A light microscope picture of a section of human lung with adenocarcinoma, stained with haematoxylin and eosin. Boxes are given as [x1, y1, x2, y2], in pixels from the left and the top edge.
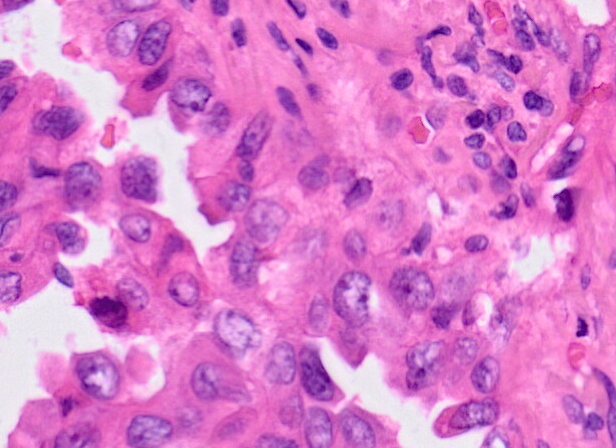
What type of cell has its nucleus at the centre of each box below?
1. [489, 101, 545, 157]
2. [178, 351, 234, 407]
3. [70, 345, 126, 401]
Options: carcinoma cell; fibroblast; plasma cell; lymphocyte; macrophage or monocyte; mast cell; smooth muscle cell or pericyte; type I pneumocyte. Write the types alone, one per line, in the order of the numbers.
lymphocyte
carcinoma cell
carcinoma cell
